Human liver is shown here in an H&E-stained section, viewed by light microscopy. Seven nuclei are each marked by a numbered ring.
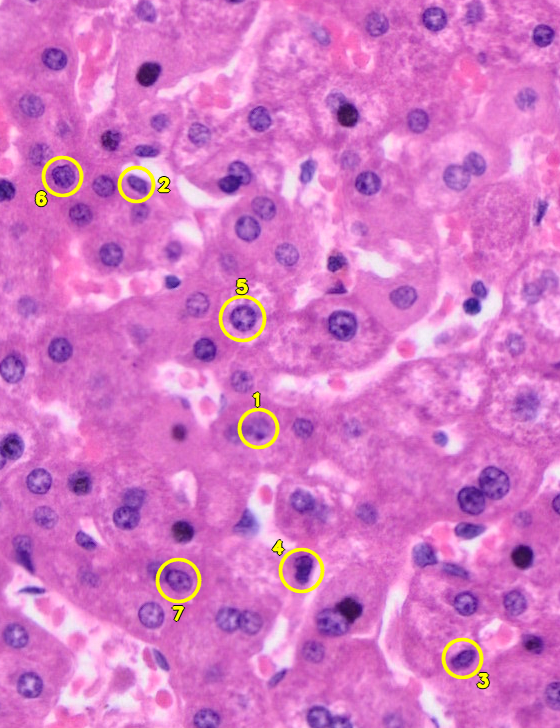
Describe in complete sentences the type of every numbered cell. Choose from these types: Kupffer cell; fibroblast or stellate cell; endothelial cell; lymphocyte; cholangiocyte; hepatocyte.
Cell 1 is a hepatocyte, cell 2 is a Kupffer cell, cell 3 is a fibroblast or stellate cell, cell 4 is a Kupffer cell, cell 5 is a hepatocyte, cell 6 is a hepatocyte and cell 7 is a hepatocyte.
